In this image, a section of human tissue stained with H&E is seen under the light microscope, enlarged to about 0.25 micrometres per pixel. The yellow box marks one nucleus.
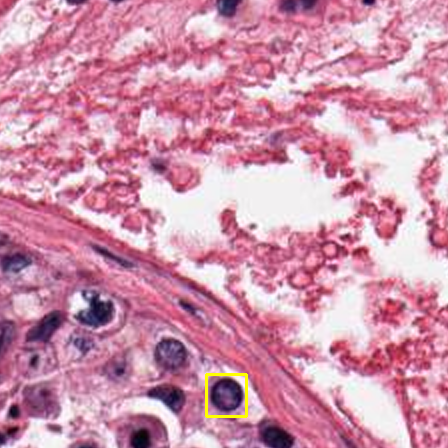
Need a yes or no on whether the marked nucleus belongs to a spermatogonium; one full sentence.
Yes, in this section the marked nucleus belongs to a spermatogonium.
